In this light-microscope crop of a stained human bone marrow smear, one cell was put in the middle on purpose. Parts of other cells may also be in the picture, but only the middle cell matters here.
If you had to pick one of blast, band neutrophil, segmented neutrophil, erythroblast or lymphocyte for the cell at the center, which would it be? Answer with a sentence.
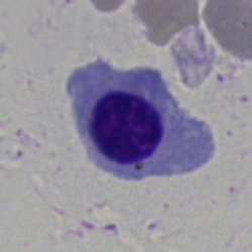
The cell shown in the center of this light-microscope crop is an erythroblast.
